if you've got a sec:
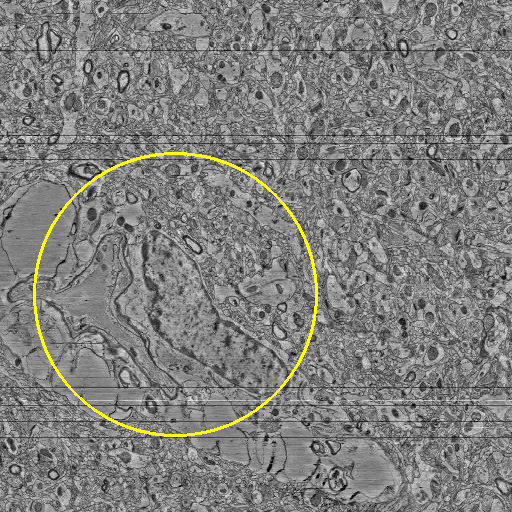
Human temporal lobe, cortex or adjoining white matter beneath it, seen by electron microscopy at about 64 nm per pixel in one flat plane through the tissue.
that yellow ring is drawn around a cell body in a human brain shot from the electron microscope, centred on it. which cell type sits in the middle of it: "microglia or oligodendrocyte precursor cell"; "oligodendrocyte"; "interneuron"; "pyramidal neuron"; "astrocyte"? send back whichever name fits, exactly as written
microglia or oligodendrocyte precursor cell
